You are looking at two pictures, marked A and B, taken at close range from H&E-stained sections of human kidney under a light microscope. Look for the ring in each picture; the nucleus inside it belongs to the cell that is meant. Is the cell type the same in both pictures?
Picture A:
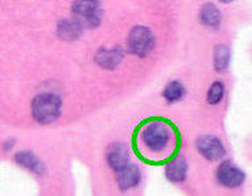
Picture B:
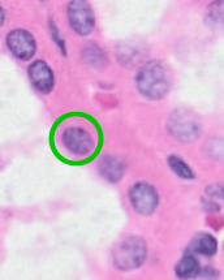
no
